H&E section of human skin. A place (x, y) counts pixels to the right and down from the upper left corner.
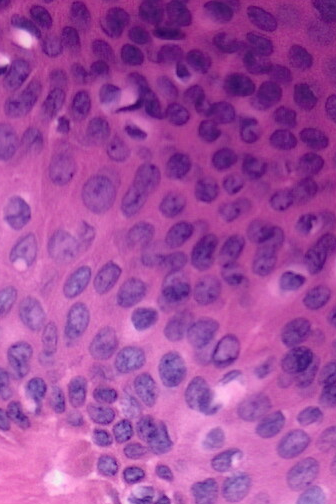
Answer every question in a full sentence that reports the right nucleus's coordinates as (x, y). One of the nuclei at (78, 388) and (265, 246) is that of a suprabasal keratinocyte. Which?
The nucleus of a suprabasal keratinocyte lies at (265, 246), not at the other position.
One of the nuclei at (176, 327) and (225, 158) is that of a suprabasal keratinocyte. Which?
So, of the two, the nucleus at (225, 158) is the one belonging to a suprabasal keratinocyte.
